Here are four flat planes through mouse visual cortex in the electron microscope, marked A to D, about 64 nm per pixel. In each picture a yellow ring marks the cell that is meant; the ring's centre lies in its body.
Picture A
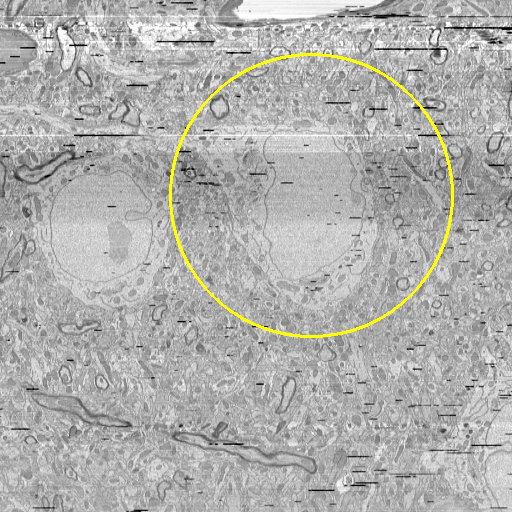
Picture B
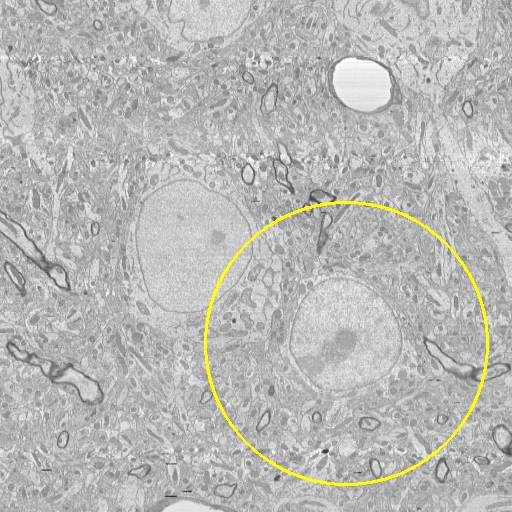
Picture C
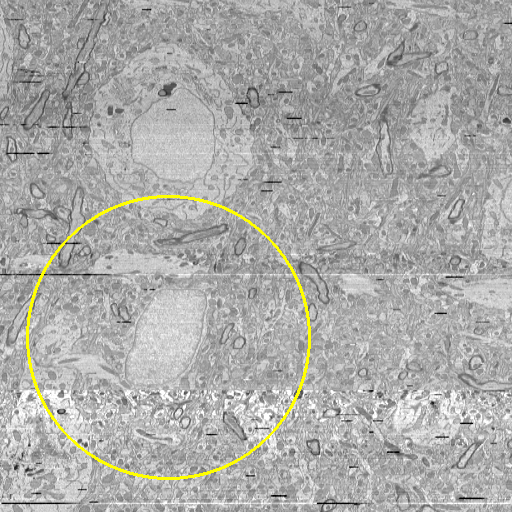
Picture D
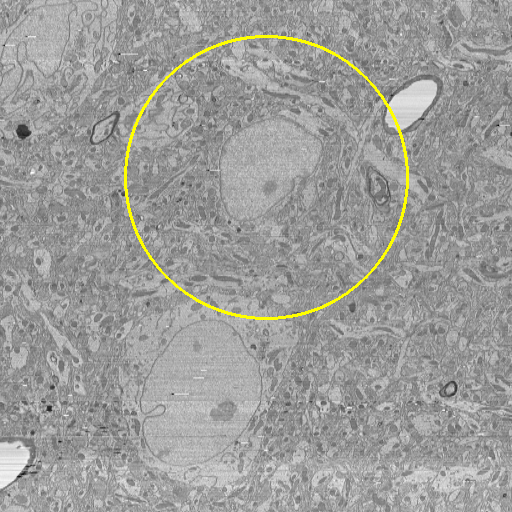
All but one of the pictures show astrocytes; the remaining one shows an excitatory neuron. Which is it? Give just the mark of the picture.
A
